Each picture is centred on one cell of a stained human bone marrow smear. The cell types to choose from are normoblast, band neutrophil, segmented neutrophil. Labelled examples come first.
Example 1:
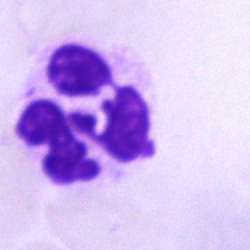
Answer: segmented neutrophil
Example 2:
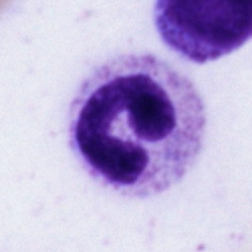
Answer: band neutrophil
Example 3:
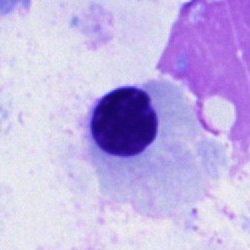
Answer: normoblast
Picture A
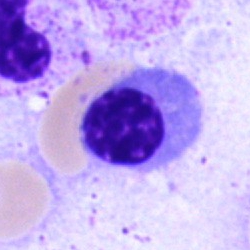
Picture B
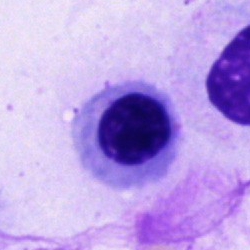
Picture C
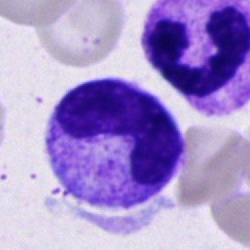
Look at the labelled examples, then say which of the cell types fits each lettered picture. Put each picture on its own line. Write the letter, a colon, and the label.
A: normoblast
B: normoblast
C: band neutrophil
